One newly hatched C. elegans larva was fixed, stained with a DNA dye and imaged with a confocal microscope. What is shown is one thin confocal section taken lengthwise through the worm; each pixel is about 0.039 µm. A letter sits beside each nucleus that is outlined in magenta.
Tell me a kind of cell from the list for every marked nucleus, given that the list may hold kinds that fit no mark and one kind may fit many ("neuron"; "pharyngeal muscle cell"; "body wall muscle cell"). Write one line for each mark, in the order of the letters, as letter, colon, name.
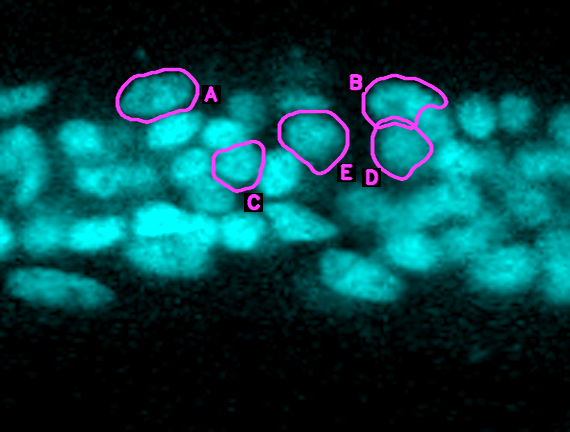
A: body wall muscle cell
B: body wall muscle cell
C: neuron
D: neuron
E: neuron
